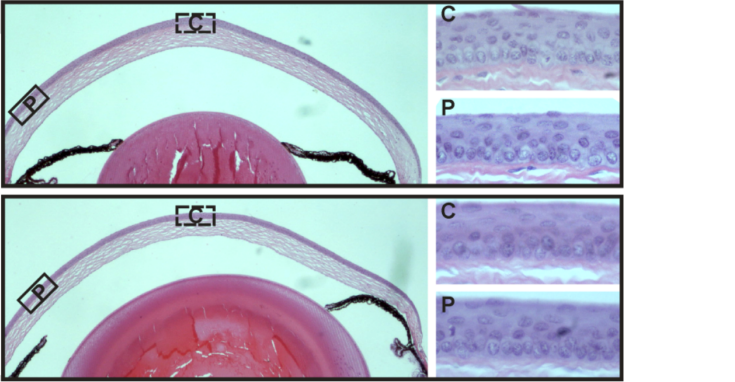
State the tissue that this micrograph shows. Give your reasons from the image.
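A thin, dome-shaped layer of tissue arches across the top of each large image. Black pigmented strands lie at its lower edges with a large round pink-red body beneath. The arching layer has a multilayered cellular surface over a pale pink, sparsely nucleated layer.
Hence: corneas.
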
